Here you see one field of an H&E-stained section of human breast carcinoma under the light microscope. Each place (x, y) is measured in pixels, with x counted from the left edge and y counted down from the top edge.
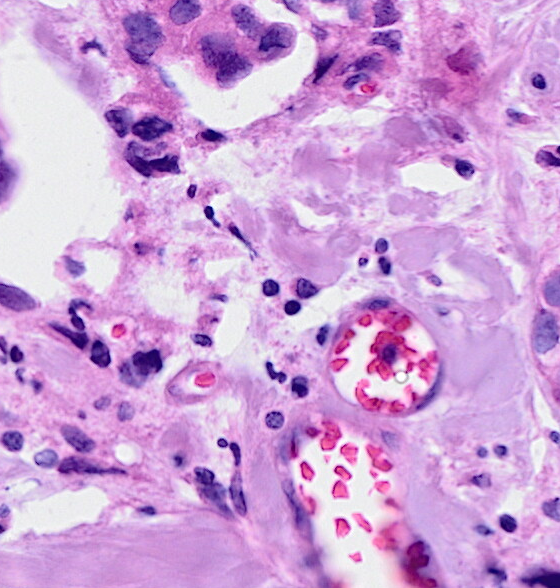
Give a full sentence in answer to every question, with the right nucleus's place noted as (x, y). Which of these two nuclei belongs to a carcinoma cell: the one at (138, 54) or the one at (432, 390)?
The nucleus positioned at (138, 54) is the one that belongs to a carcinoma cell.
